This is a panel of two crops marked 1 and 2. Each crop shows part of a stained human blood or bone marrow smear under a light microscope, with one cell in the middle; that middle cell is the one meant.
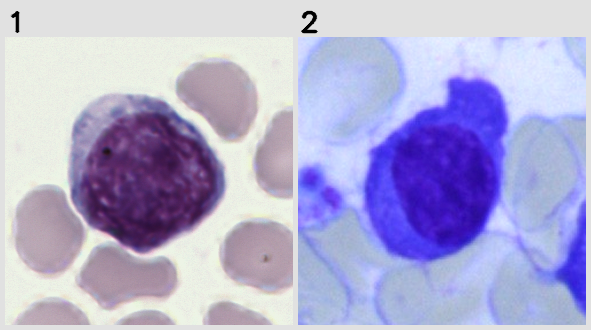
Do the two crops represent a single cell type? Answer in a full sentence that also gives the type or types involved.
Yes, both crops have plasma cells as their central cells.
